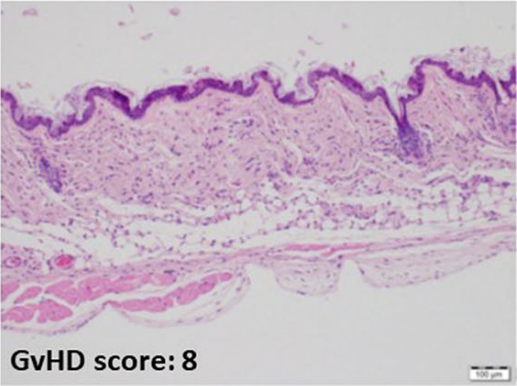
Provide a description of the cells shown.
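This is a section of skin with a thickened, fibrotic dermis. The epidermis forms a thin, dark purple, undulating layer at the top. Below it the dermis is a broad zone of dense pink collagen crowded with many small, dark nuclei. Hair follicles are sparse, with only one or two follicle profiles visible. The fat layer beneath is scant, and a few pink muscle bundles lie at the lower edge.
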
